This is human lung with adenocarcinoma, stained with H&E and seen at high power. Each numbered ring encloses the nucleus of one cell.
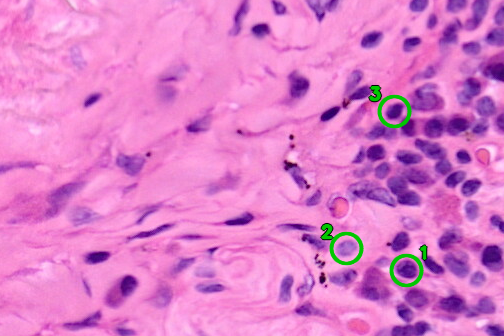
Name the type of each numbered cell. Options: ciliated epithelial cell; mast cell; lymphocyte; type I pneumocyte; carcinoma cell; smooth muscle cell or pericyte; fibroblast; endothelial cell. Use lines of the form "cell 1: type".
cell 1: lymphocyte
cell 2: mast cell
cell 3: lymphocyte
